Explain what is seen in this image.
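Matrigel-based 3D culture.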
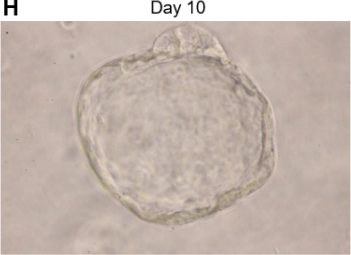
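A large, rounded organoid lies in a clear gel and fills most of the field. Its wall is a thin rim of cells enclosing a lighter interior, and a small bulge of cells projects from its upper edge.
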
